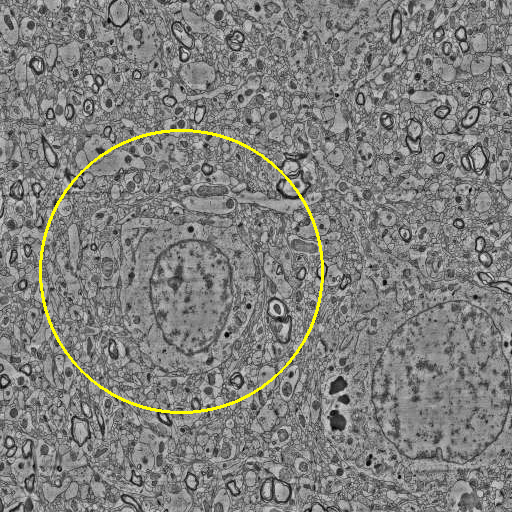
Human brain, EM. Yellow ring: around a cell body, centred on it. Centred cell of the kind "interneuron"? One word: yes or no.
no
